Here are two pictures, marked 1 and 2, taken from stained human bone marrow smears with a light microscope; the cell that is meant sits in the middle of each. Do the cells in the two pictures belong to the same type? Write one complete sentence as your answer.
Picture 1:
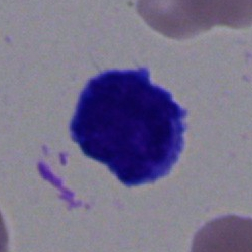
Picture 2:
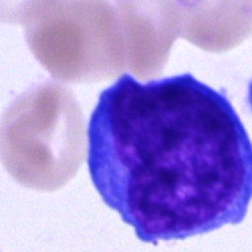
Yes, they are the same type: both are blasts.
